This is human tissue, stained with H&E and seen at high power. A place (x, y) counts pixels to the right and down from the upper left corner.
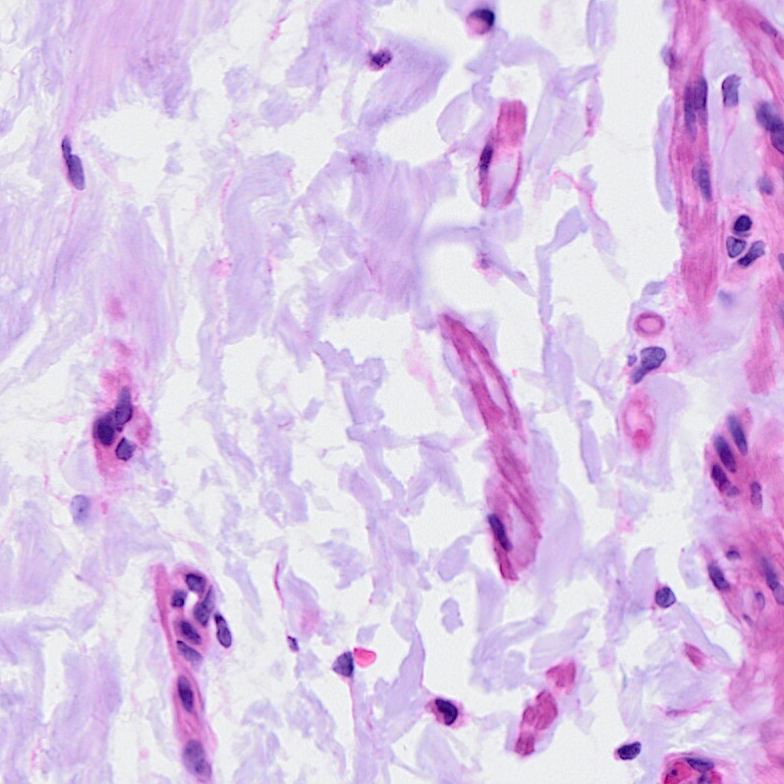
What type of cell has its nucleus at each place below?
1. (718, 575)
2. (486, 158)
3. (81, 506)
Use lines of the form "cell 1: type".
cell 1: smooth muscle cell
cell 2: smooth muscle cell
cell 3: fibroblast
